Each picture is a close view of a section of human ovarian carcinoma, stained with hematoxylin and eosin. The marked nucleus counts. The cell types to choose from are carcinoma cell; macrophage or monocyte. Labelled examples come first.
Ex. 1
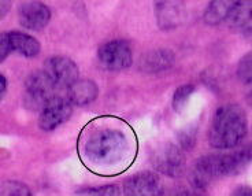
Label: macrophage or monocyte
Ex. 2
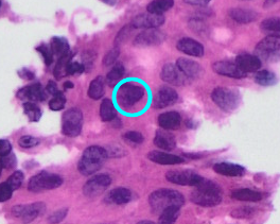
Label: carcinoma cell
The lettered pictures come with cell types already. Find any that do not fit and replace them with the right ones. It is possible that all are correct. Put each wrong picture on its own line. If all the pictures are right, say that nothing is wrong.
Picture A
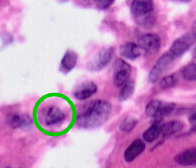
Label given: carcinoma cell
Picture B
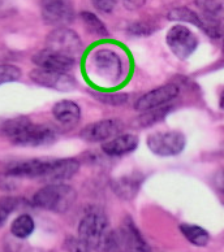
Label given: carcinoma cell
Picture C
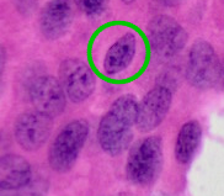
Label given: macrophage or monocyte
A: macrophage or monocyte, not carcinoma cell
B: macrophage or monocyte, not carcinoma cell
